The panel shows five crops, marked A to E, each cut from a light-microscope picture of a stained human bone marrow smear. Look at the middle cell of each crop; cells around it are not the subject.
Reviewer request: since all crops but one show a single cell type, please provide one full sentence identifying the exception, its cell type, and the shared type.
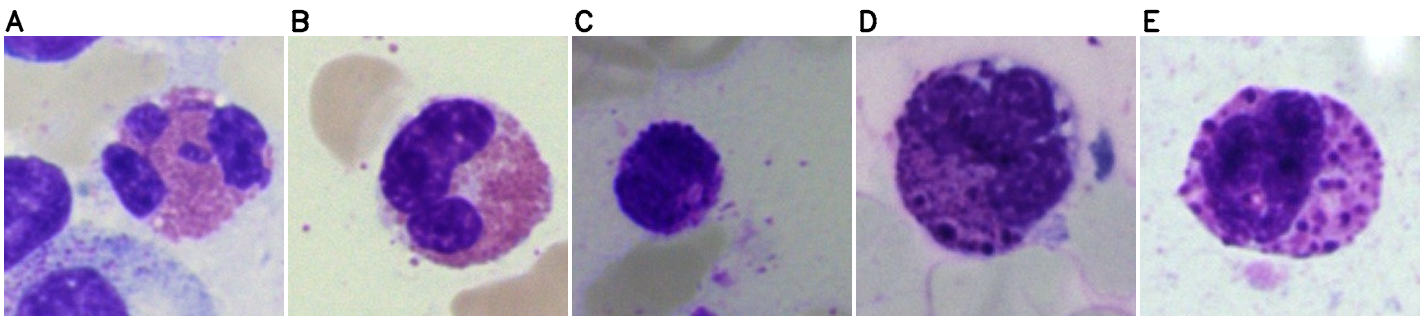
Of all the crops, only crop A shows an eosinophil; the others show basophils.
